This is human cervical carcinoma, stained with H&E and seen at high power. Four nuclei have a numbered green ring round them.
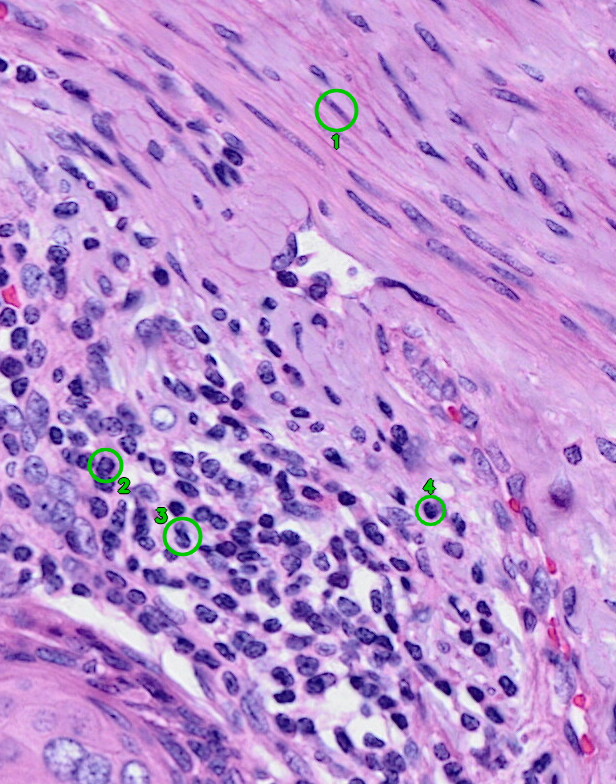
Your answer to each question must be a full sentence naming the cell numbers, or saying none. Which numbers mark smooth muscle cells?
Of the numbered cells, only cell 1 is a smooth muscle cell.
